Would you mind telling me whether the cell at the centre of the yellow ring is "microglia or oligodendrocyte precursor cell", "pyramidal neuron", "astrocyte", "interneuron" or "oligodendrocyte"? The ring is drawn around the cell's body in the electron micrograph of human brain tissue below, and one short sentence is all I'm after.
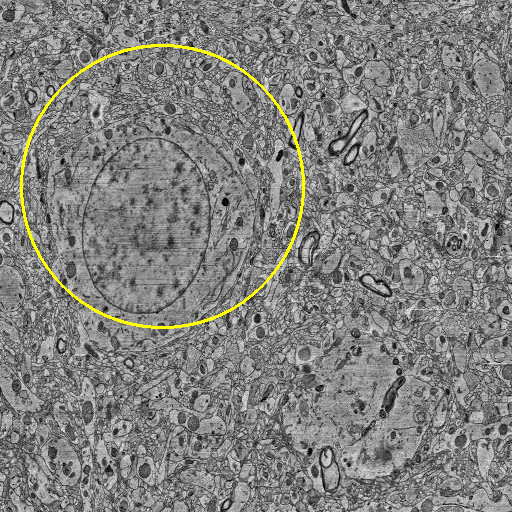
In the centre of the ring lies a pyramidal neuron.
